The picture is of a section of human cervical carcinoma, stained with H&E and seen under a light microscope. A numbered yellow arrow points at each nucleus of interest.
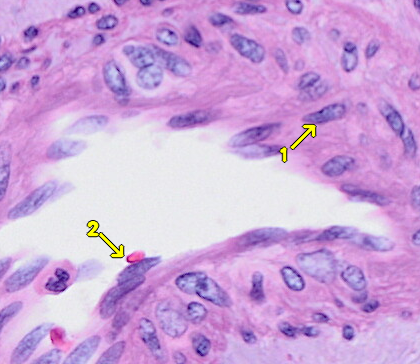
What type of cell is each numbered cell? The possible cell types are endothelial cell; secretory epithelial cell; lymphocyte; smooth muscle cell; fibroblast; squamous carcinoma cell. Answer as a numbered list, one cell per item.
1. smooth muscle cell
2. endothelial cell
